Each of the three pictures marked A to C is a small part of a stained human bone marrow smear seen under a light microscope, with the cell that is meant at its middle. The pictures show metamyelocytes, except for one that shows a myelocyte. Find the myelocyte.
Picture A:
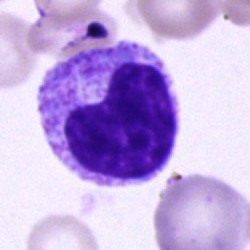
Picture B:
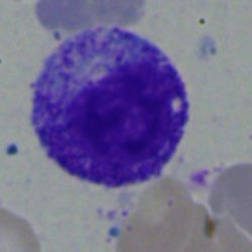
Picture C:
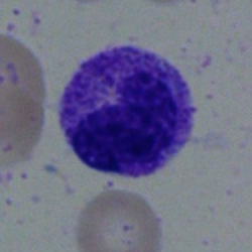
B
